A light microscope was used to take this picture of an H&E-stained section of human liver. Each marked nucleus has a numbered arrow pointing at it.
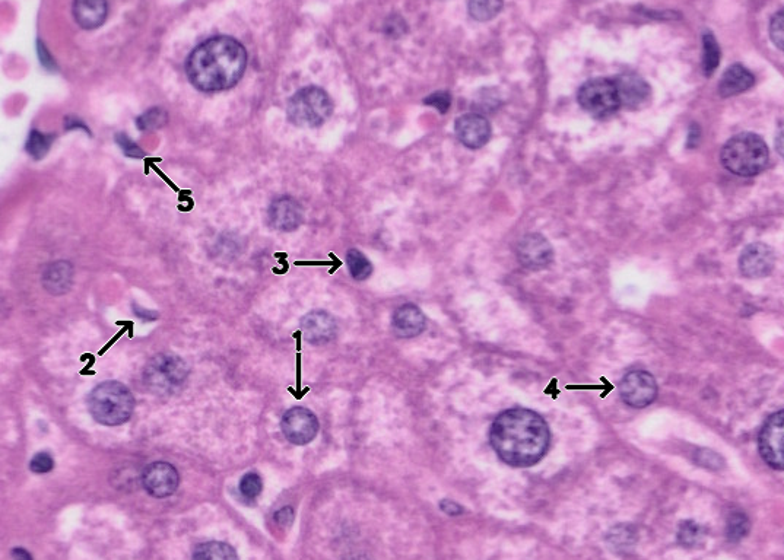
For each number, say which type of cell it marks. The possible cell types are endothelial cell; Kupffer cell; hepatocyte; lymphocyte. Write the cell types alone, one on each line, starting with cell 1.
hepatocyte
Kupffer cell
lymphocyte
hepatocyte
endothelial cell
